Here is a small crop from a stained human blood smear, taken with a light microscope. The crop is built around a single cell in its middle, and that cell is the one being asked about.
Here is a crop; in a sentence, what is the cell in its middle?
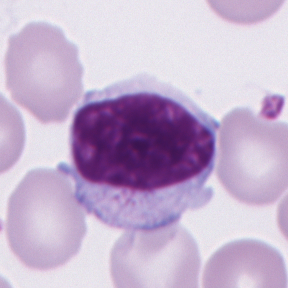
In this smear crop, the middle cell is a large granular lymphocyte.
